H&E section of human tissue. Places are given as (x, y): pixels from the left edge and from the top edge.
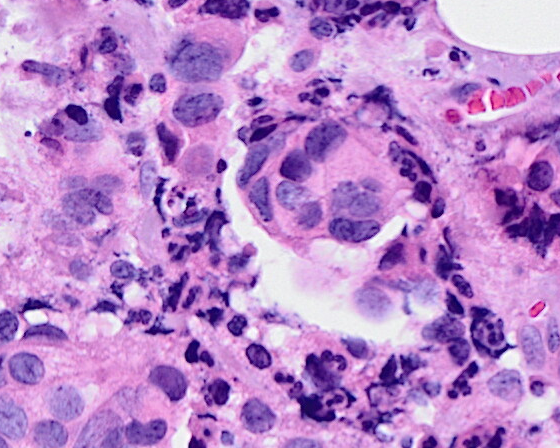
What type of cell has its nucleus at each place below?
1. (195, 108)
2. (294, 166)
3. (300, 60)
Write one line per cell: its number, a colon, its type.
1: carcinoma cell
2: carcinoma cell
3: mast cell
